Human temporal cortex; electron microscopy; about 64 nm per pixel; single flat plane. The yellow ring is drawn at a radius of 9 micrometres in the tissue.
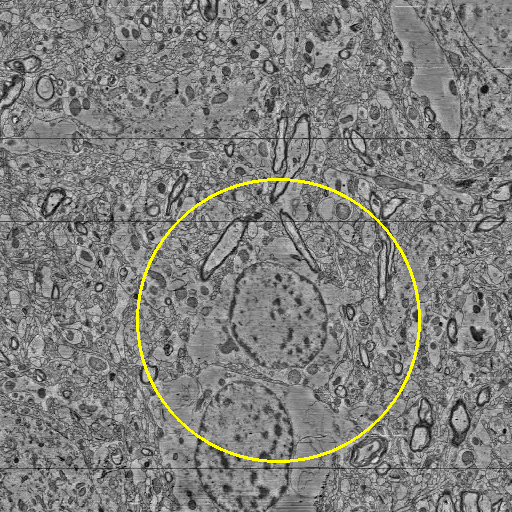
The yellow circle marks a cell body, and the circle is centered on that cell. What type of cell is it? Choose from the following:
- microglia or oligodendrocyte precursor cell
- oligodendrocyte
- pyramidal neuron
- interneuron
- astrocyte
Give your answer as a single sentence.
This cell body belongs to an astrocyte.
